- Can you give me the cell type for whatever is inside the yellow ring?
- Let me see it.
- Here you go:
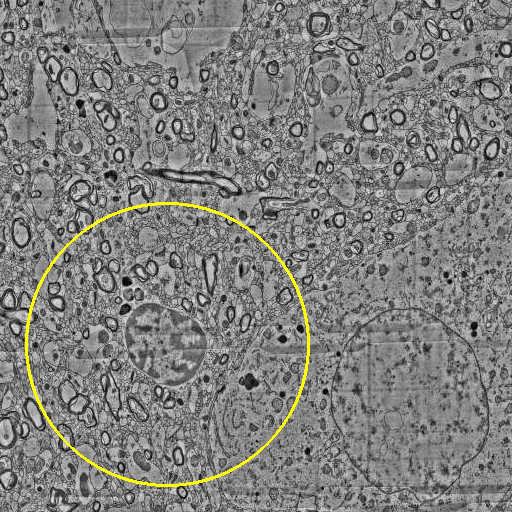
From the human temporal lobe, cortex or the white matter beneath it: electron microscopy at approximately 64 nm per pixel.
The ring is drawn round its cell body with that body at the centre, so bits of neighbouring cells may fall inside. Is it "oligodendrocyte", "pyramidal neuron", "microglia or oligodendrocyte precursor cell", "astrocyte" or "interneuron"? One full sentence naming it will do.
The cell body in the middle of the ring in this picture belongs to a microglial cell or oligodendrocyte precursor cell.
